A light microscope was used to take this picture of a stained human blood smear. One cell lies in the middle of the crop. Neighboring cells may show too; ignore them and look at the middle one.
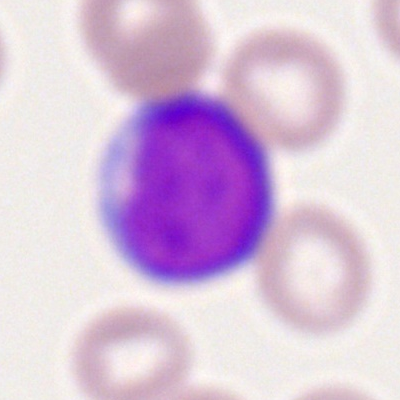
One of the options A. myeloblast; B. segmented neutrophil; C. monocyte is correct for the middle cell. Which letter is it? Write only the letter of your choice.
A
